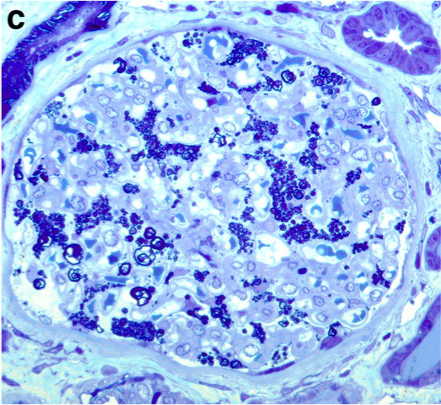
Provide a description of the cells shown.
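This is a semithin section of a glomerulus in which many cells, mainly podocytes, hold clusters of dark blue inclusions. The inclusions are small round bodies, some with concentric rings, packed together in groups. A pale capsule surrounds the tuft, and tubules with dark blue epithelium lie at the edges of the field.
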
